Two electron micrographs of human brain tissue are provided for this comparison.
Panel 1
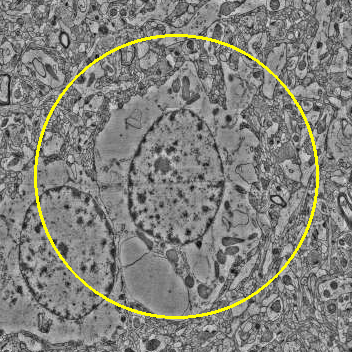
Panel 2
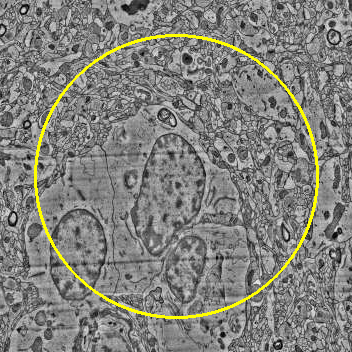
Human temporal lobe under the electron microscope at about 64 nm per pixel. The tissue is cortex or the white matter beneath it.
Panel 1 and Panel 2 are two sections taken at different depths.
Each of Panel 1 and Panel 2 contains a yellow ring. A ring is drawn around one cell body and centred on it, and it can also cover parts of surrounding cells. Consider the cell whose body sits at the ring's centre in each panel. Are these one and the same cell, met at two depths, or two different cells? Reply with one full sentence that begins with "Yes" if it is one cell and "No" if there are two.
No, the circled cells number two, not one.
